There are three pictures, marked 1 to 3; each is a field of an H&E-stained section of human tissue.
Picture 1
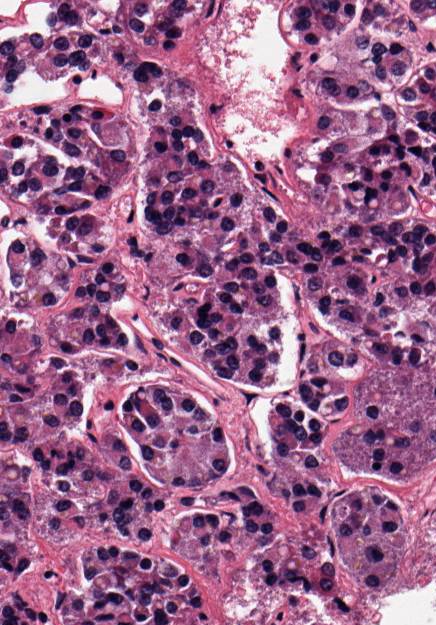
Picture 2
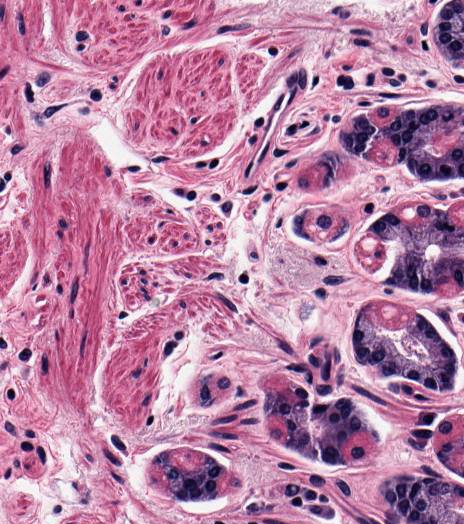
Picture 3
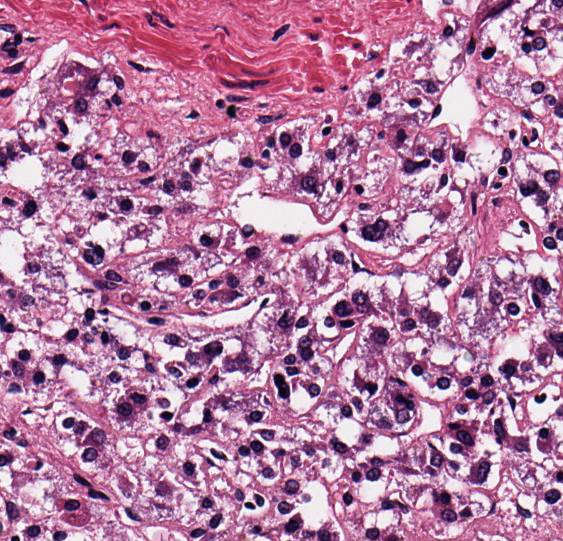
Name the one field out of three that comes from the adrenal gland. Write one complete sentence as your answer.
Picture 3 comes from the adrenal gland.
